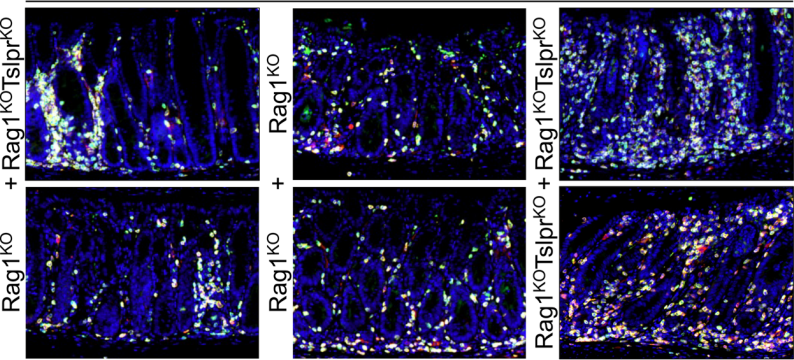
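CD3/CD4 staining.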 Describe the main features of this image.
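Colonic mucosa in six fluorescence fields, crypts outlined by blue-stained nuclei against dark background. Small round cells with green, red or yellow overlapping signal lie scattered in the lamina propria between crypts and along the base of the mucosa. In the central fields these cells are sparse and spread out; in the right-hand fields they are dense, filling much of the space between crypts, which appear distorted. In the upper-left field a large cluster of bright cells fills a region between crypts.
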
